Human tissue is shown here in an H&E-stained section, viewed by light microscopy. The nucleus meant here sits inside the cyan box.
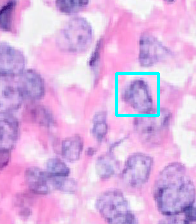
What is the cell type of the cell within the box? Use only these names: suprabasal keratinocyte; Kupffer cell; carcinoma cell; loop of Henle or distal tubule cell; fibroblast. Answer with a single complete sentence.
In the stained section, the cell within the box is a carcinoma cell.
